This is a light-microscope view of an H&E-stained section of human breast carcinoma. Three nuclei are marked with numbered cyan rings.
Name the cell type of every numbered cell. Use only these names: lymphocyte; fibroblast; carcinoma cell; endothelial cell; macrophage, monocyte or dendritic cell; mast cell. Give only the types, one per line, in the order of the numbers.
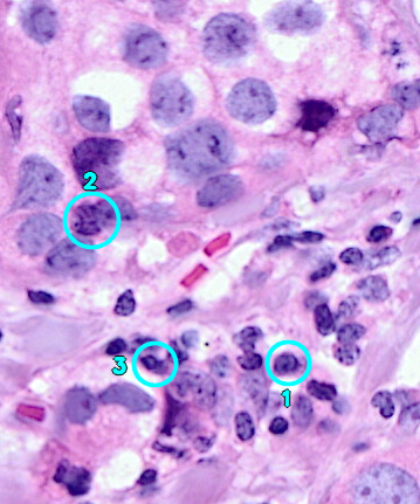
lymphocyte
carcinoma cell
lymphocyte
